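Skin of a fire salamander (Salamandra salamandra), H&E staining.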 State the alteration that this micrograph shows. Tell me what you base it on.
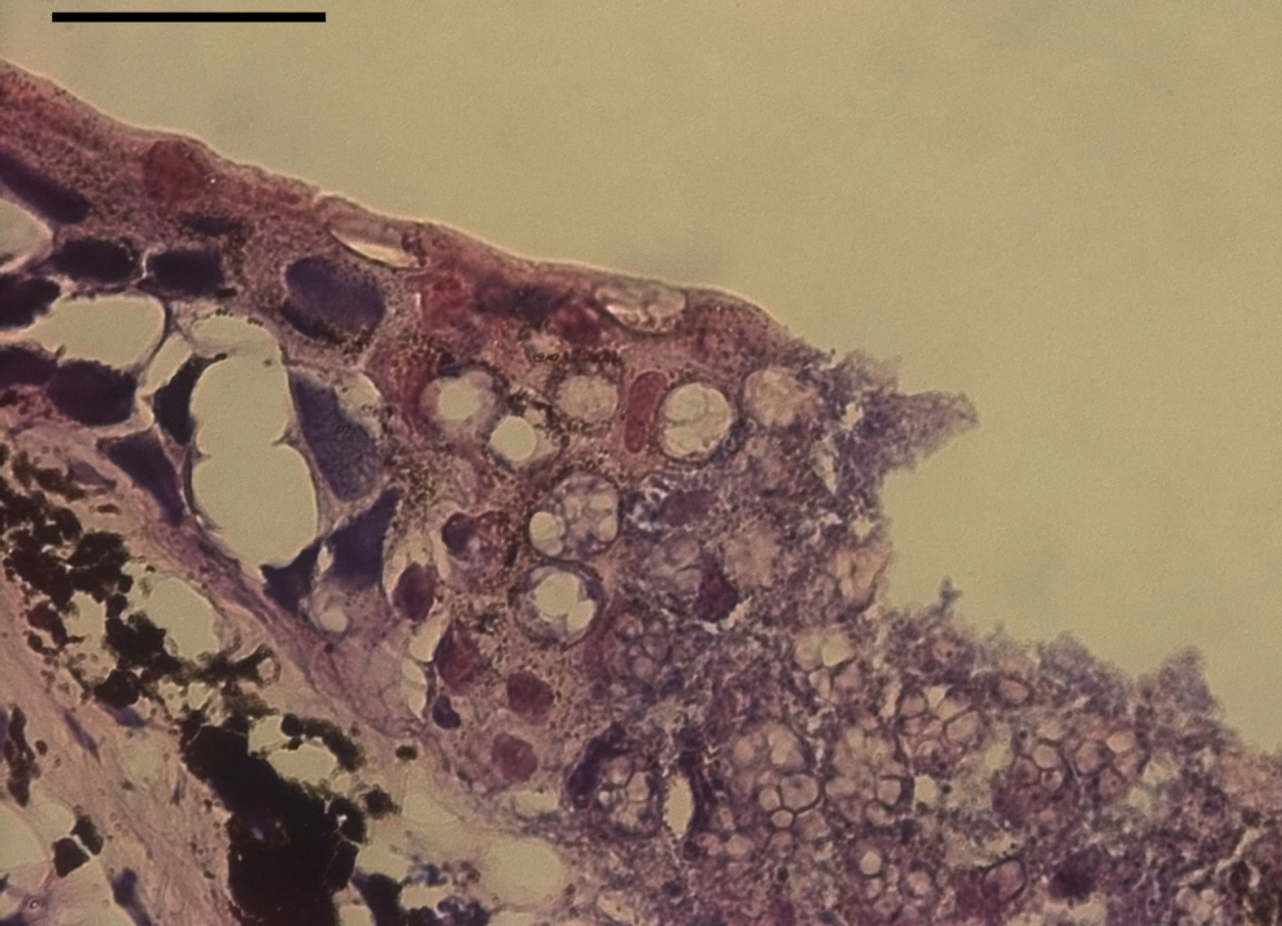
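Loss of epithelial integrity. The epidermal surface on the right is ragged and frayed rather than a continuous smooth layer. The epidermis on the right is broken up by many rounded spaces.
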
